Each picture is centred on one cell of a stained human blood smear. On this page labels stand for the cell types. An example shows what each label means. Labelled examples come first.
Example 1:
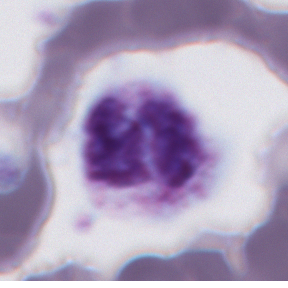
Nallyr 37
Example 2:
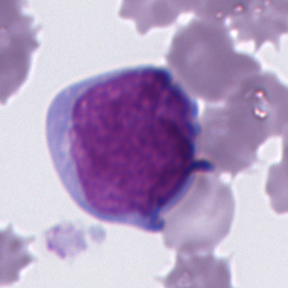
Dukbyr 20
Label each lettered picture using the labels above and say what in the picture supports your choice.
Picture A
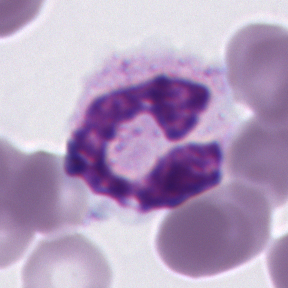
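Nallyr 37. Evidence: The nucleus is a single curved band forming a C that opens toward the right.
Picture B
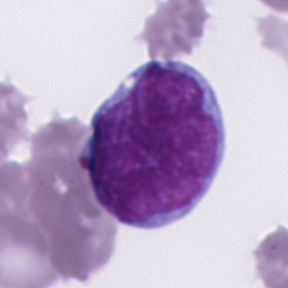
Dukbyr 20. Evidence: The cytoplasm forms only a thin rim around the nucleus.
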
